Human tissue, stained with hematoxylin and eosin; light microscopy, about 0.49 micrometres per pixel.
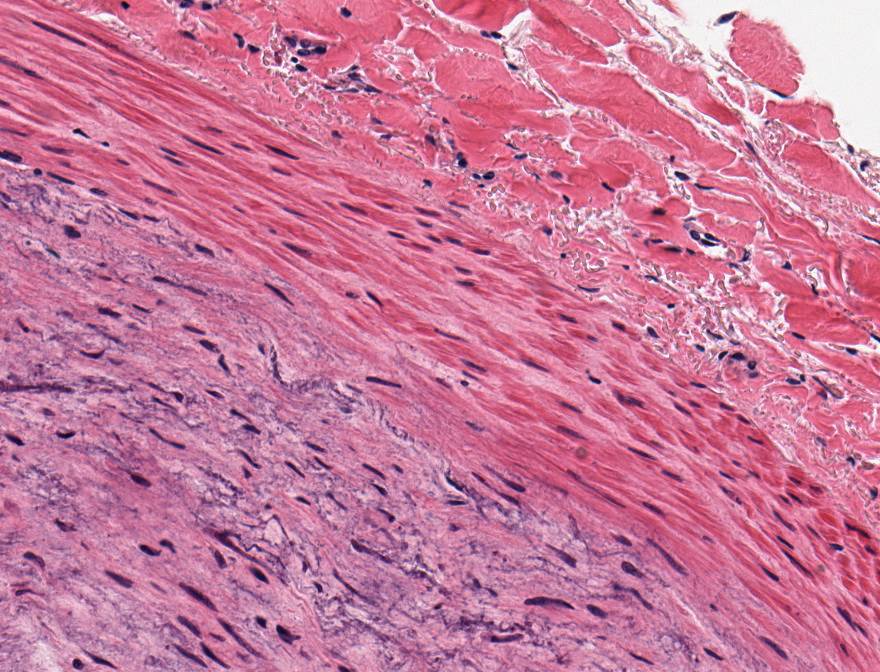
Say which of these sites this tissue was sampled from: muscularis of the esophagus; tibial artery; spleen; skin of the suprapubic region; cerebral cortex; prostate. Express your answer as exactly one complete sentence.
This is tissue that was sampled from the tibial artery.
